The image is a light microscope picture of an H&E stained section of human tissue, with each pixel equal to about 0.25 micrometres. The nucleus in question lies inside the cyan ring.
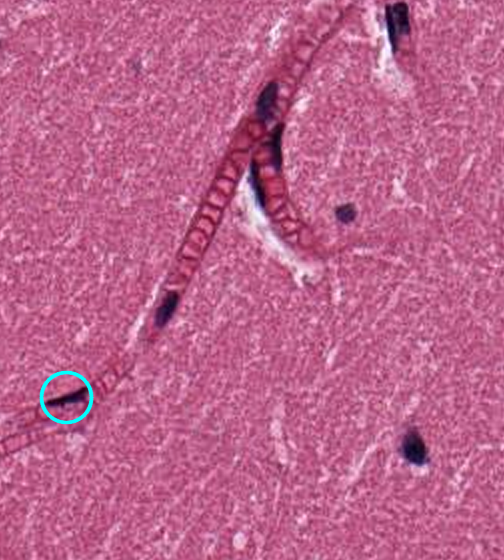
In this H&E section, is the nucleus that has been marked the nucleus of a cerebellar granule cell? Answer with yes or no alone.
no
